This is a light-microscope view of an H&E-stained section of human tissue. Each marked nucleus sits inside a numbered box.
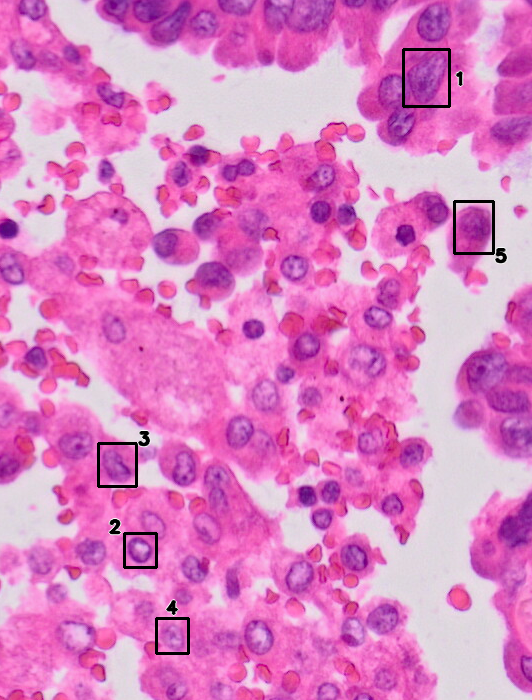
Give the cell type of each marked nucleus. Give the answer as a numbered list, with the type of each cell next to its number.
1. carcinoma cell
2. macrophage or monocyte
3. macrophage or monocyte
4. macrophage or monocyte
5. carcinoma cell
